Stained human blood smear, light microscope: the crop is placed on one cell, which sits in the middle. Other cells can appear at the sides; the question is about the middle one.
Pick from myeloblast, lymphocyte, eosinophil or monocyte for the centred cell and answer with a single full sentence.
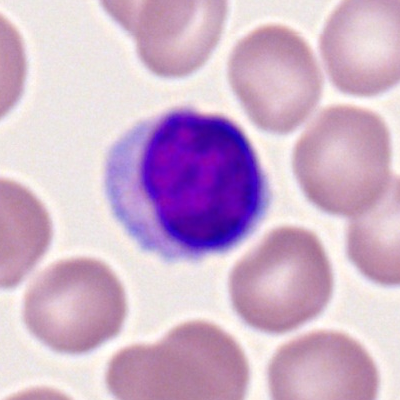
Within this crop, a lymphocyte occupies the central position.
